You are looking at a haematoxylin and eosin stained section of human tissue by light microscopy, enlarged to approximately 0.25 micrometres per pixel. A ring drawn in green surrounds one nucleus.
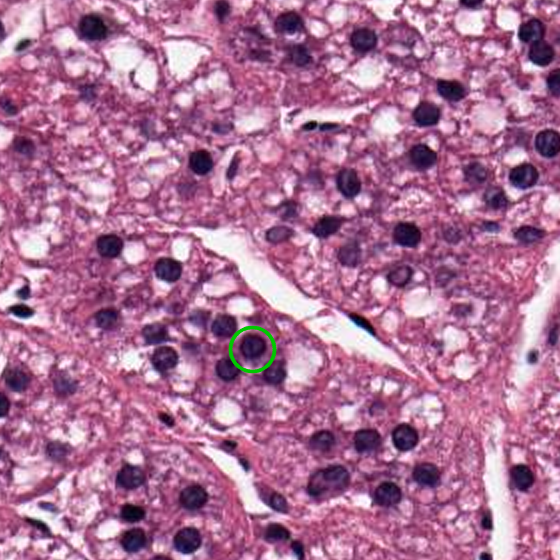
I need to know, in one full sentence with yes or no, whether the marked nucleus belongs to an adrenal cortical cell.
Yes, the cell whose nucleus is marked is an adrenal cortical cell.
